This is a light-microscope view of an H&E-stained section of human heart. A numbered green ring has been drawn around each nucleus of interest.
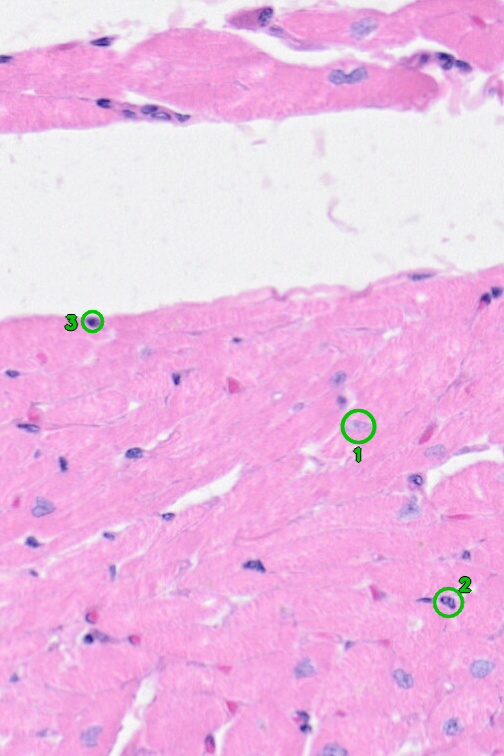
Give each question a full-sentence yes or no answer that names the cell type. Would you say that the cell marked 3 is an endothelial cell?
Yes, cell number 3 in this section is an endothelial cell.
